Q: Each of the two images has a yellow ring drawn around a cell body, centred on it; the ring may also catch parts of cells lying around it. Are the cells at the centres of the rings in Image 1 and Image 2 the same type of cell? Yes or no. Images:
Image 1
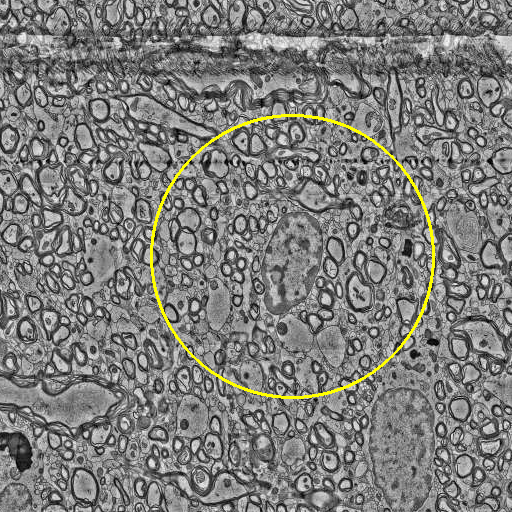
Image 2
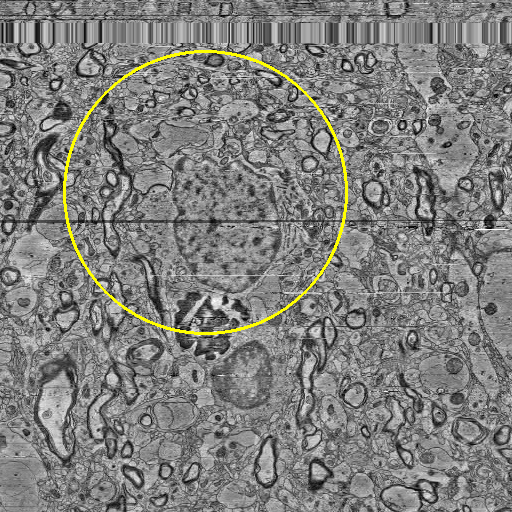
yes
